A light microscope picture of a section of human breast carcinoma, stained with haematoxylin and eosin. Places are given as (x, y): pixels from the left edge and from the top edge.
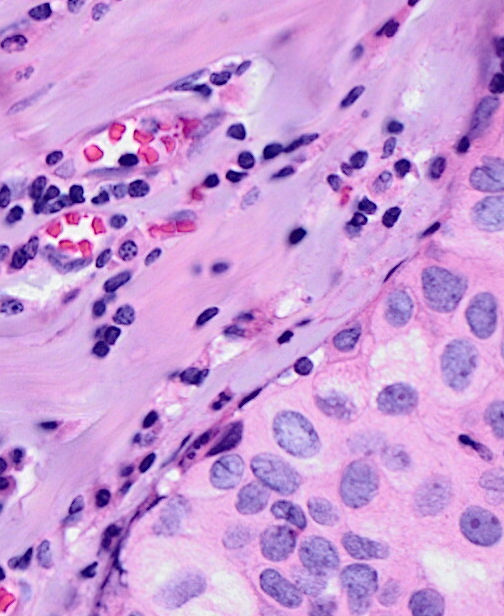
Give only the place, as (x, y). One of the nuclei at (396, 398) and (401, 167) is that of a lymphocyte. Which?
(401, 167)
